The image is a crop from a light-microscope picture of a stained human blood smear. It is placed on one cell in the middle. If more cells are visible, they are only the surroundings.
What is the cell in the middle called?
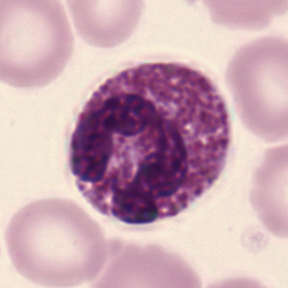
eosinophil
